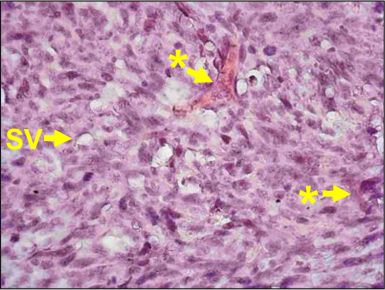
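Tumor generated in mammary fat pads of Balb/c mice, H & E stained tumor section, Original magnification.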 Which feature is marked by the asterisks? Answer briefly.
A: Blood vessels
